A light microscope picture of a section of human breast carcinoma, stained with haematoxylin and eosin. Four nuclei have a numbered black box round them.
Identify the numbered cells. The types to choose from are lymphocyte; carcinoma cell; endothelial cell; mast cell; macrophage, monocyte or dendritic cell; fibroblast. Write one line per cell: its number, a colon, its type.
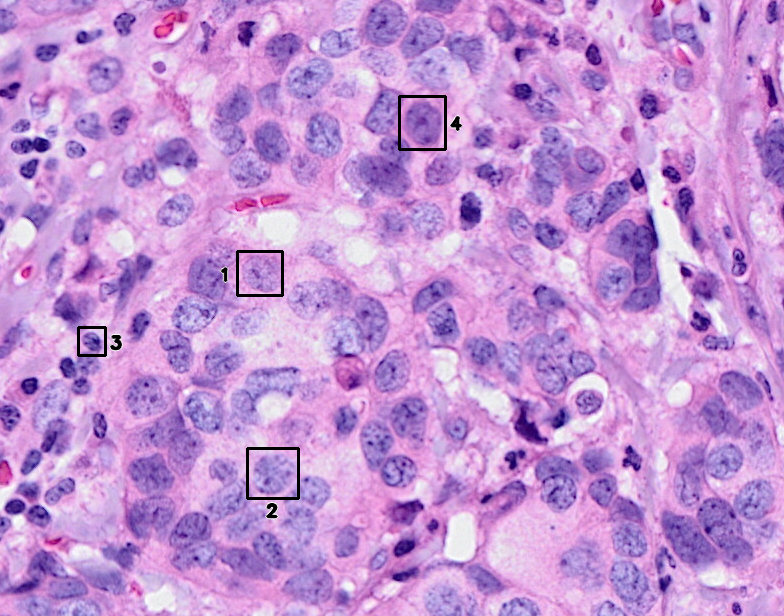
1: carcinoma cell
2: carcinoma cell
3: lymphocyte
4: carcinoma cell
